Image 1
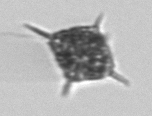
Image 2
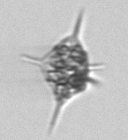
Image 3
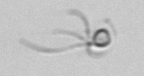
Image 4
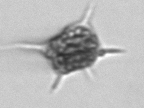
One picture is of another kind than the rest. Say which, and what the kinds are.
Picture 3 shows Ophiaster; the rest show silicoflagellates.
